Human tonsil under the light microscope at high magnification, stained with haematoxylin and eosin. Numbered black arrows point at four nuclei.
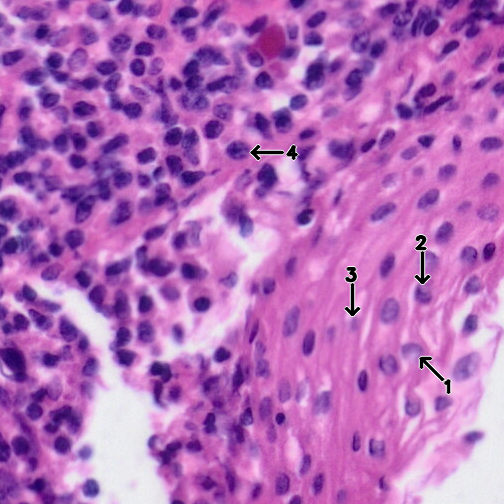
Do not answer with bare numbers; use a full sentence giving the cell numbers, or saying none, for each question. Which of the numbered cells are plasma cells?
Cell 4, and no other numbered cell, is a plasma cell.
